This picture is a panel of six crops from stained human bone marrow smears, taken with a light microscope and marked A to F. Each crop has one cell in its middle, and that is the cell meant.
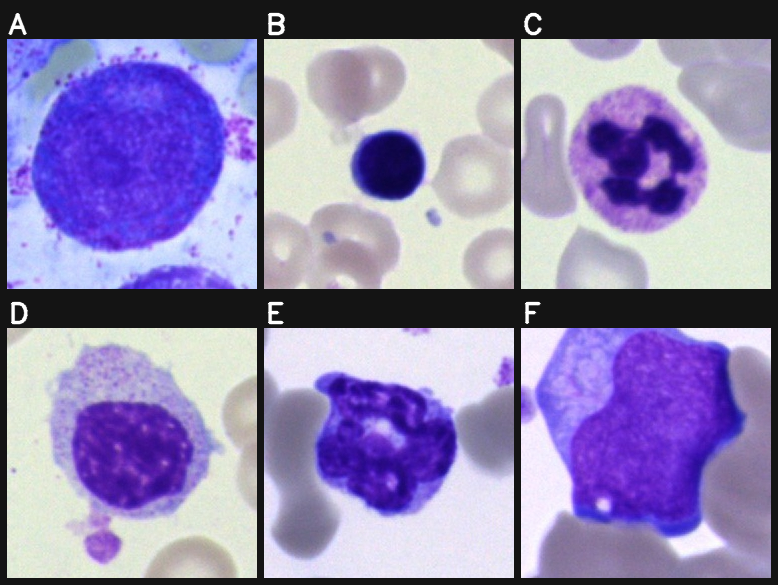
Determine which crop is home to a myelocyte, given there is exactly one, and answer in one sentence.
It is crop D, not any other, that shows a myelocyte.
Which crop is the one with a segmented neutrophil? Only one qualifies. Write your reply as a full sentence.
The crop showing a segmented neutrophil in this series is crop C.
